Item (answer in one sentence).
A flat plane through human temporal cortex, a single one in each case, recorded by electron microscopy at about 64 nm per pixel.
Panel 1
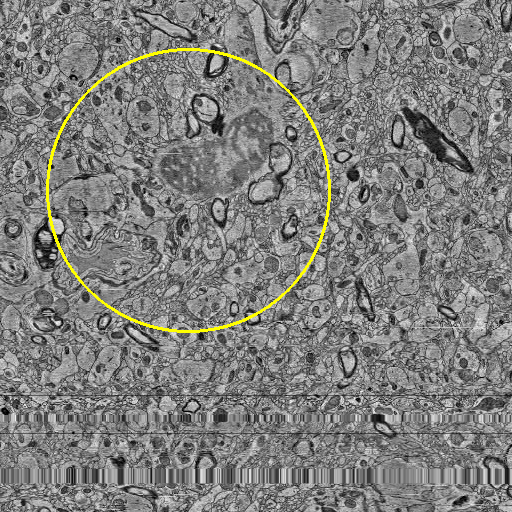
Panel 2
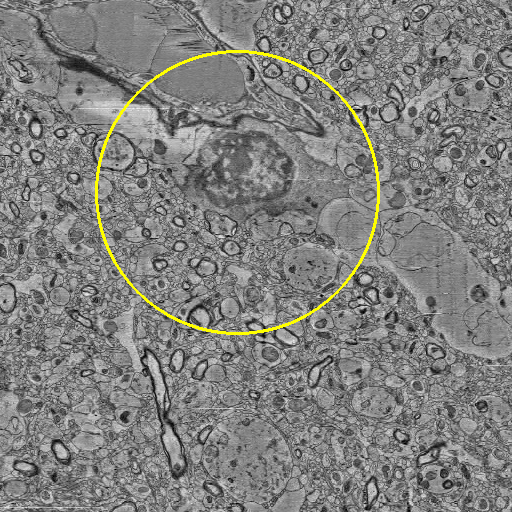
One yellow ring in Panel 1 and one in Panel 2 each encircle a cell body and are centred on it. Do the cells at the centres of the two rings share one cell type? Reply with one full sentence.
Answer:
Yes, Panel 1 and Panel 2 show cells of one type at the centres of their rings.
